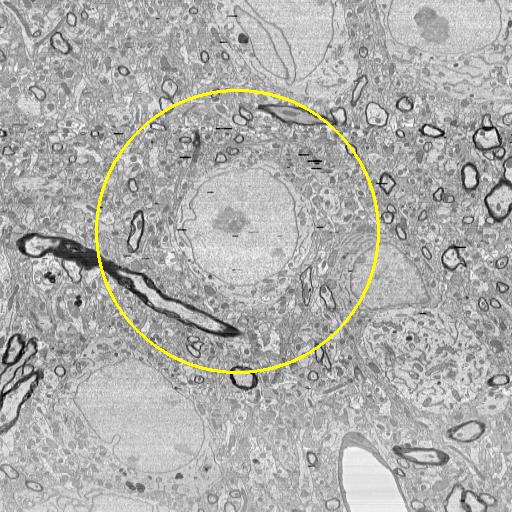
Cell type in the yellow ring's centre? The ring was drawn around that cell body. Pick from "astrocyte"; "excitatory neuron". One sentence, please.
The ringed cell body is that of an excitatory neuron.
